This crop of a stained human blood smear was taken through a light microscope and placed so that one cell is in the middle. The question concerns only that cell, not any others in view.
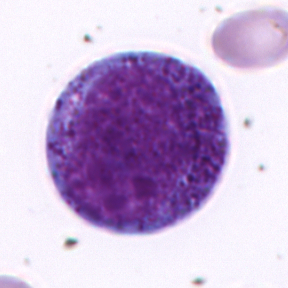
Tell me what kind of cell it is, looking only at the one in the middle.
promyelocyte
